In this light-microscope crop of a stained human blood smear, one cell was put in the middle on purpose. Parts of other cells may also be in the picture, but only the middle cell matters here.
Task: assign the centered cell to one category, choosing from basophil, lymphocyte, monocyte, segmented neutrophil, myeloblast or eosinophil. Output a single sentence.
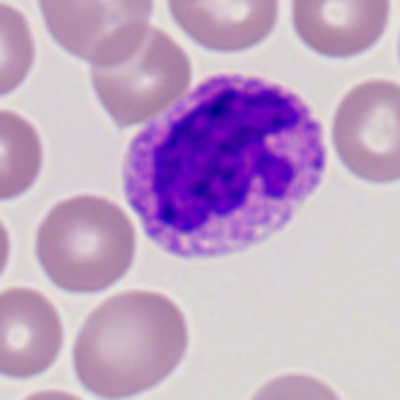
The central element of this crop is a cell, namely a basophil.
